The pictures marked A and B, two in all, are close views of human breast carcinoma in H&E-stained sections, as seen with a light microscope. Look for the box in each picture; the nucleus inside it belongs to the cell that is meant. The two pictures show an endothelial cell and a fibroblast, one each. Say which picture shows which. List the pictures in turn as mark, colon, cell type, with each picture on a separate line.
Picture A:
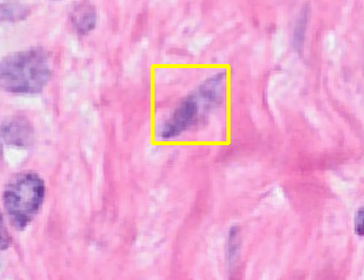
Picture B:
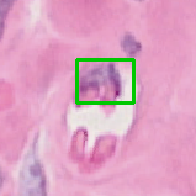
A: fibroblast
B: endothelial cell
